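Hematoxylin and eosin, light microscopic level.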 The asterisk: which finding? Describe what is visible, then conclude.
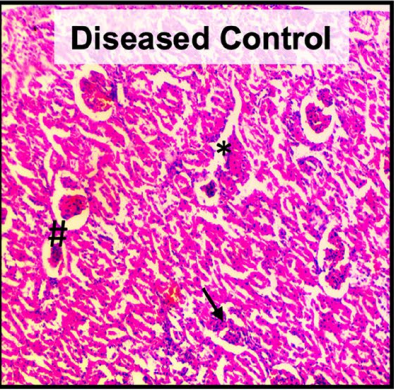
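Tubular degeneration. The asterisk sits by tubules with an irregular, disrupted lining.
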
